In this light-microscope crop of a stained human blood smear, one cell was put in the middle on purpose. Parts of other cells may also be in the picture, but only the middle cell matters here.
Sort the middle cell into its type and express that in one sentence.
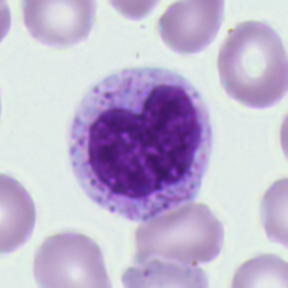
Occupying the centre of the crop is a metamyelocyte.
